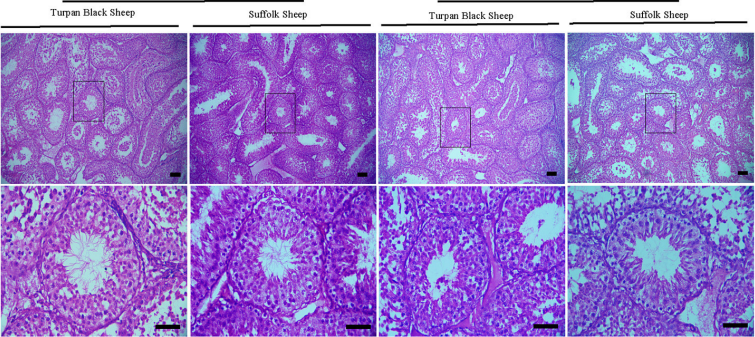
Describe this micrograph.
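This is testis tissue in which many seminiferous tubules, the convoluted tubules of the testis, are cut in cross-section. Each tubule is round to oval and bounded by a thin wall, with a thick, multilayered epithelium of densely packed cells whose nuclei stain dark purple. At higher magnification the cells are seen in concentric layers from the basal edge toward the center, with larger round nuclei in the middle layers. The central lumen contains pale pink, wispy material radiating inward.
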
